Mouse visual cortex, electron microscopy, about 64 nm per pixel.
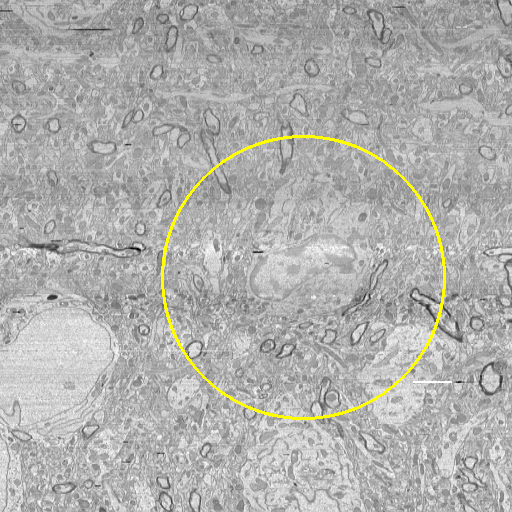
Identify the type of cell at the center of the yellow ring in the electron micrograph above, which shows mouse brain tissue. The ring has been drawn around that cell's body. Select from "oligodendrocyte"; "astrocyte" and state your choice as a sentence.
The yellow ring is centered on the body of an oligodendrocyte.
